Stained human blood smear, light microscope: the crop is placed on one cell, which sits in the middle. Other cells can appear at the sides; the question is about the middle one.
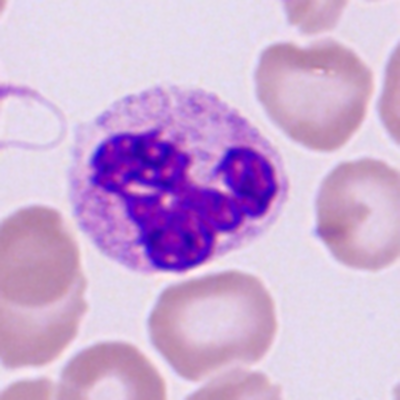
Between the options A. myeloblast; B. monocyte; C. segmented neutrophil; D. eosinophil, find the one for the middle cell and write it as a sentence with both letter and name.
The correct option, C, names the middle cell as a segmented neutrophil.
